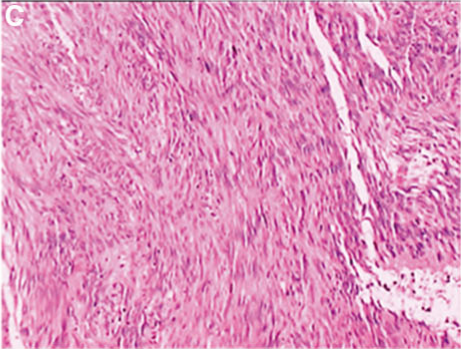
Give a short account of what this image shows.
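This is a densely cellular tumour made of spindle cells packed closely together. The cells have pale pink cytoplasm and elongated, slender purple nuclei tapering at both ends. They run in long, parallel streams and bundles that change direction from one area to the next. A narrow clear, cleft-like space runs roughly vertically through the right part of the field. There is little intervening stroma between the cells.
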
